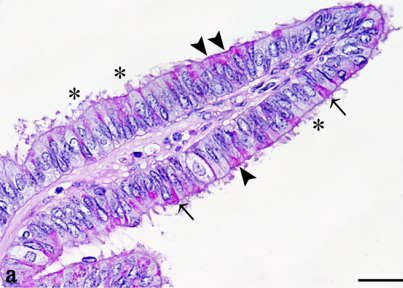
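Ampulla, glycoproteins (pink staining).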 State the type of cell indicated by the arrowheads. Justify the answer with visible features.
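Secretory cells. The marked epithelial cells carry pink-stained apical cytoplasm. The marked cells lack a tuft of cilia at their surface.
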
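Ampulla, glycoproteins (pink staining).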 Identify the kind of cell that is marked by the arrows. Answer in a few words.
Peg cells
